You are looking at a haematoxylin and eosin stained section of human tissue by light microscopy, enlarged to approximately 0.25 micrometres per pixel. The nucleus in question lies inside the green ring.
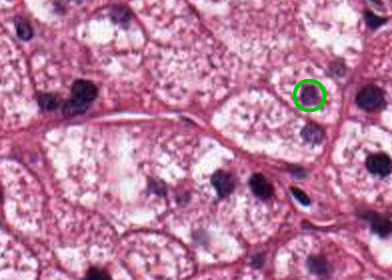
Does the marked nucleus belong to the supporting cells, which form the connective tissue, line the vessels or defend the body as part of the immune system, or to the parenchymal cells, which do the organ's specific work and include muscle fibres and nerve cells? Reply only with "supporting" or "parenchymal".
parenchymal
